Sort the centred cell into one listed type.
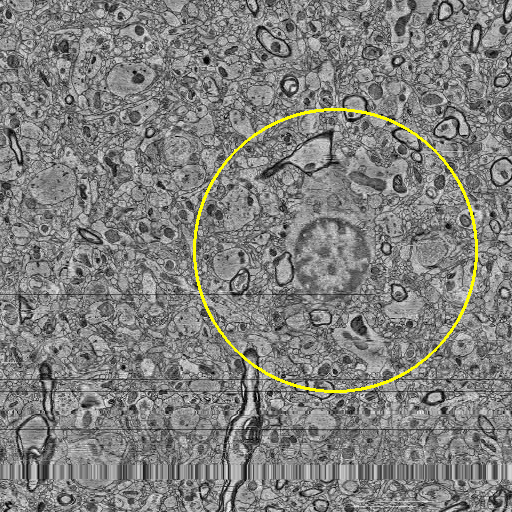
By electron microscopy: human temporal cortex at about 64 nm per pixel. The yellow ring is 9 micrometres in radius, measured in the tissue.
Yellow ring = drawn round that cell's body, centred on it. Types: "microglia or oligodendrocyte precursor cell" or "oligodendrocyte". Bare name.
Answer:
oligodendrocyte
